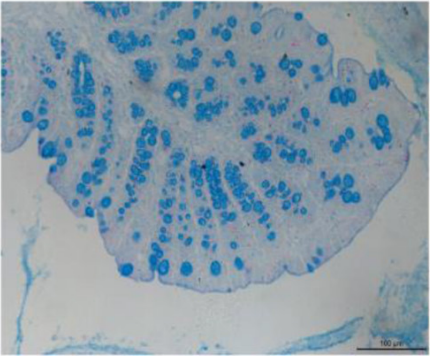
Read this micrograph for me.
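This section of colonic mucosa shows crypts cut partly lengthwise and partly across, in pale, weakly stained tissue. Goblet cells appear as round cells filled with blue-stained mucus, scattered through the epithelium and in places arranged in rings around crypt lumens. The surrounding epithelial cells and connective tissue take up little color.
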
